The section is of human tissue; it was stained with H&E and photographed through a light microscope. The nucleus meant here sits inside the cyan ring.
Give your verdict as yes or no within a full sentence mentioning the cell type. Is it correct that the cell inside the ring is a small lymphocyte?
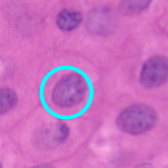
No, judged by cell type, the cell inside the ring is a squamous epithelial cell, not a small lymphocyte.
